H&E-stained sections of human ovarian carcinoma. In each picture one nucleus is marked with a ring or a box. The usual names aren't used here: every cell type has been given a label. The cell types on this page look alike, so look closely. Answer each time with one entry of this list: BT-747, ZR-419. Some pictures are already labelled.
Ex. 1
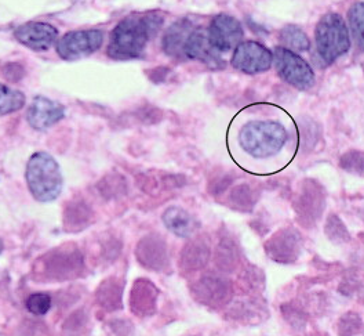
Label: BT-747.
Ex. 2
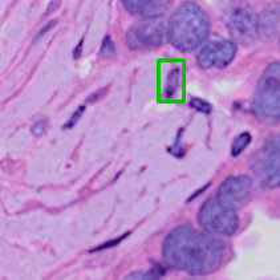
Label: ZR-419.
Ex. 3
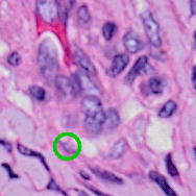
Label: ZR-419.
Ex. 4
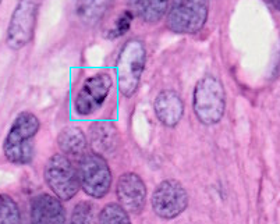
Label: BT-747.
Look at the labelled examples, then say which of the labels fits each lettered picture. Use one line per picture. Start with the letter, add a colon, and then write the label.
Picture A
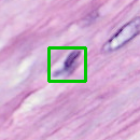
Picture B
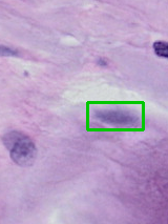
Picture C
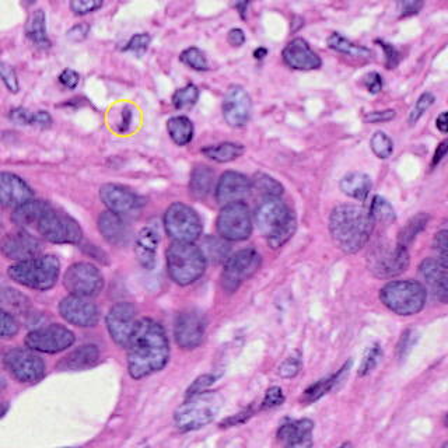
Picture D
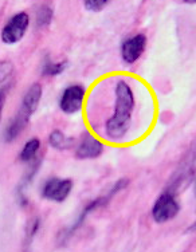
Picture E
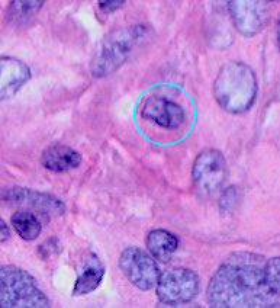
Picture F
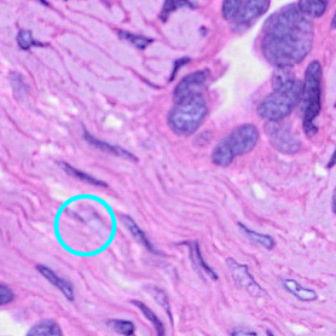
A: BT-747.
B: ZR-419.
C: ZR-419.
D: BT-747.
E: BT-747.
F: ZR-419.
